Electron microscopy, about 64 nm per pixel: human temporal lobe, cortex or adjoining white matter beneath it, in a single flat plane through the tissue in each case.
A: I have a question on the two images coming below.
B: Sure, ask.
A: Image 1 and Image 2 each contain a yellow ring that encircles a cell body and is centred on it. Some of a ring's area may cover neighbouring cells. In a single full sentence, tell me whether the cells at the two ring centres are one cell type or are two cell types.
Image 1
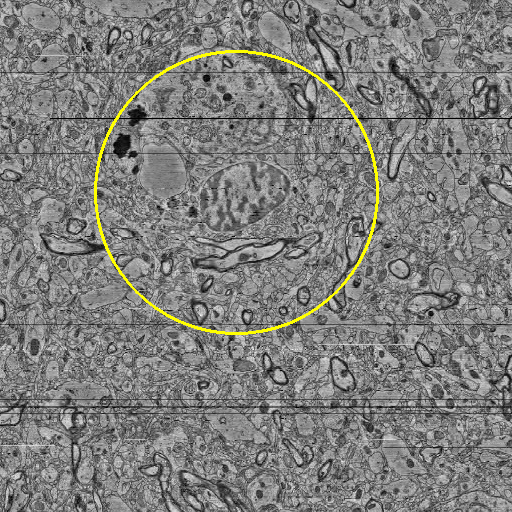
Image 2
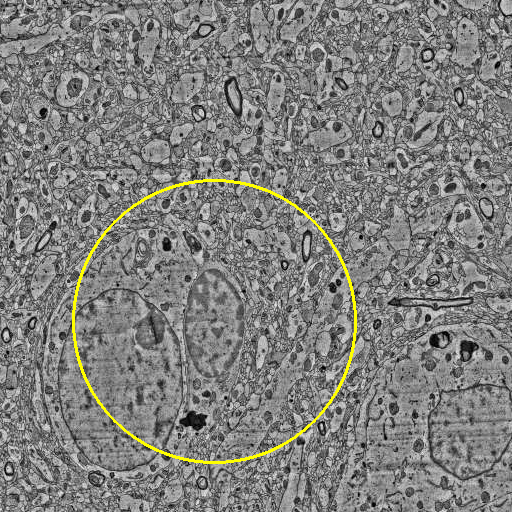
As for the ring-centre cells, the one in Image 1 and the one in Image 2 are two cell types.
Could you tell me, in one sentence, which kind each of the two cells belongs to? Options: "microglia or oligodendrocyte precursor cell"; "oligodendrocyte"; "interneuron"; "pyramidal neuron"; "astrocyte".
At the centre of the first ring sits a microglial cell or oligodendrocyte precursor cell, and at the centre of the second sits an oligodendrocyte.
